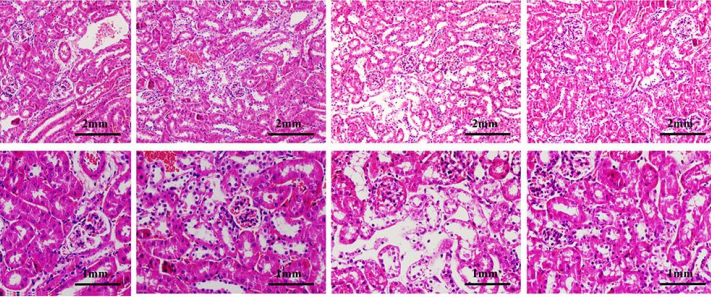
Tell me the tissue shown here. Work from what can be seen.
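Kidney. Densely packed round and elongated tubule profiles lined by pink-staining epithelium. Rounded capillary tufts within capsules (glomeruli) lie among the tubules.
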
